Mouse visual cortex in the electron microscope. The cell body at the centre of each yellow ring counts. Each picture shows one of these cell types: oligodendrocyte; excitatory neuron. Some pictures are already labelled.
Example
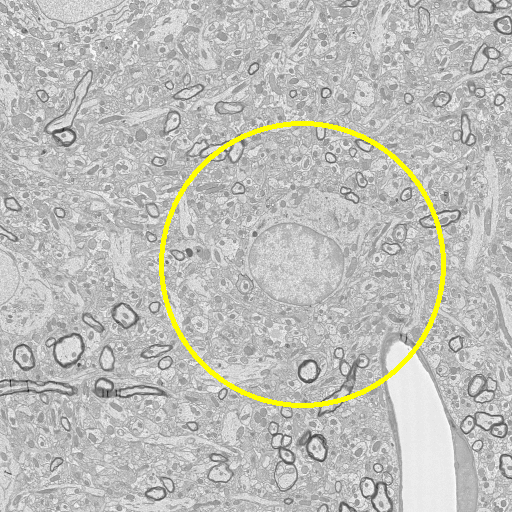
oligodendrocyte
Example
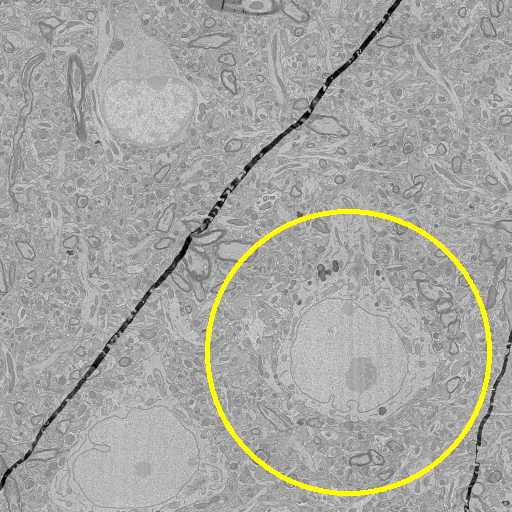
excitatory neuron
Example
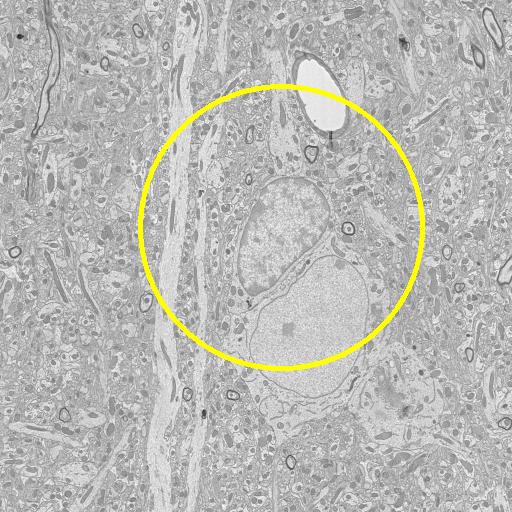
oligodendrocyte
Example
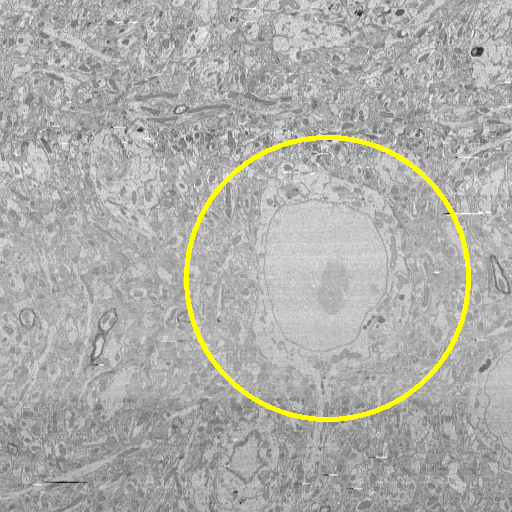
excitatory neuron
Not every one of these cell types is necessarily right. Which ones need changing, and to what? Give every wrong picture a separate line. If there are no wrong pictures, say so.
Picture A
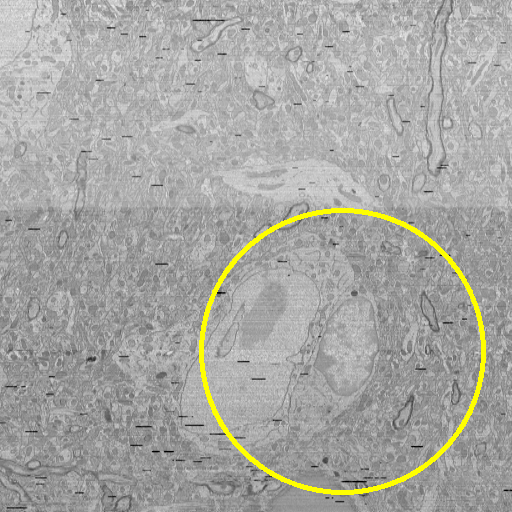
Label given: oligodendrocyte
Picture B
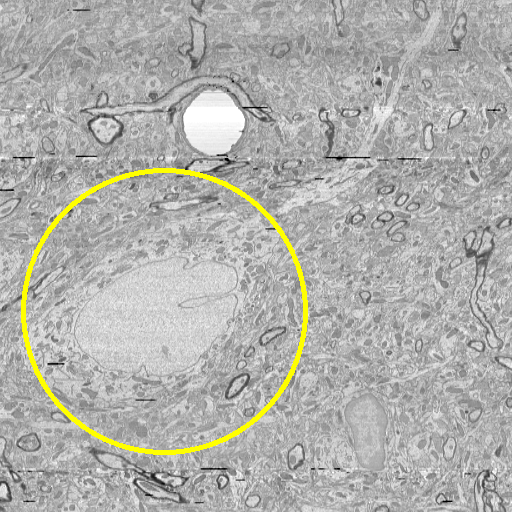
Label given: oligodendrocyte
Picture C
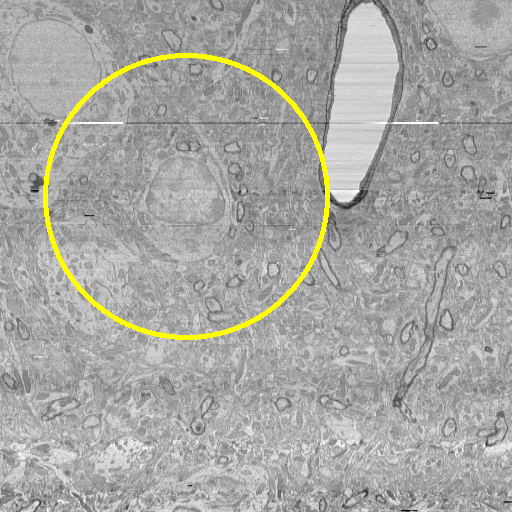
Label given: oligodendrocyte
Wrong: B (oligodendrocyte); correct: excitatory neuron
